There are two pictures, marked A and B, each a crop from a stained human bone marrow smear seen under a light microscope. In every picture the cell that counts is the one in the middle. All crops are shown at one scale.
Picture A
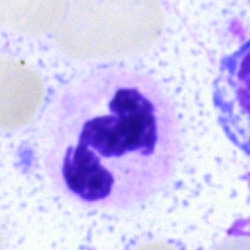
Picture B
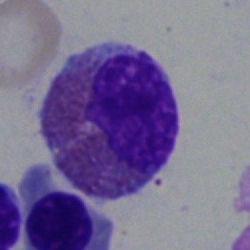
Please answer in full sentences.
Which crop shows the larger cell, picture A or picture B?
Picture B holds the larger cell; it covers about 1.5 times the area of the cell in picture A.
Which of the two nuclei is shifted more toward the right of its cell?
The nucleus in picture B lies further toward the right of its cell.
